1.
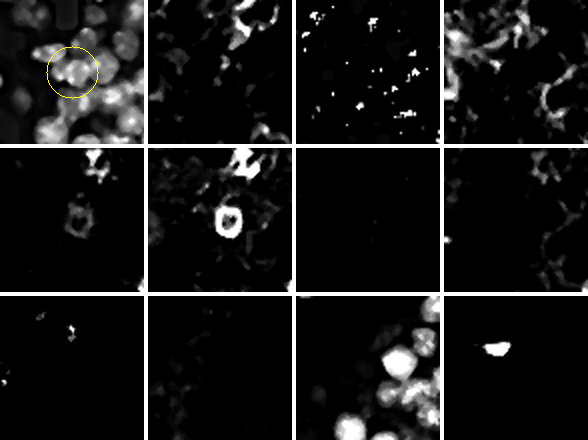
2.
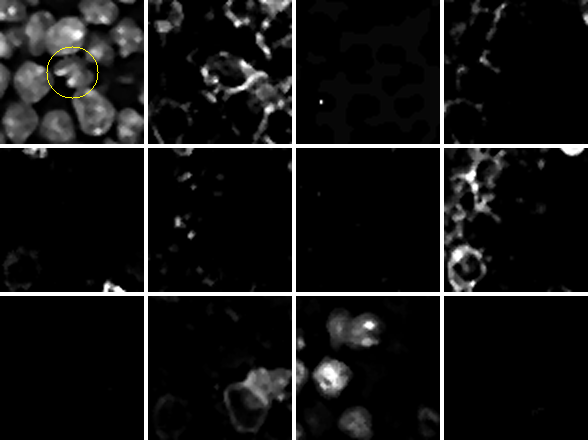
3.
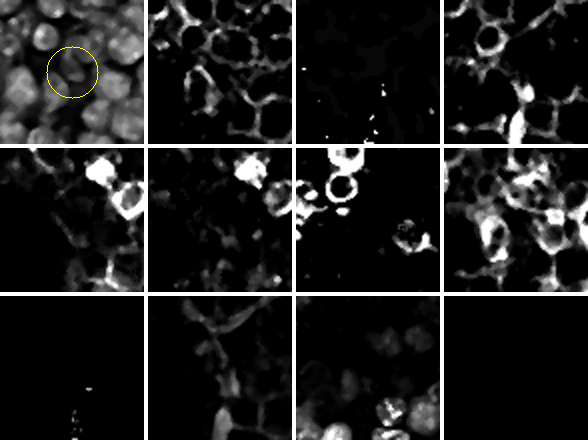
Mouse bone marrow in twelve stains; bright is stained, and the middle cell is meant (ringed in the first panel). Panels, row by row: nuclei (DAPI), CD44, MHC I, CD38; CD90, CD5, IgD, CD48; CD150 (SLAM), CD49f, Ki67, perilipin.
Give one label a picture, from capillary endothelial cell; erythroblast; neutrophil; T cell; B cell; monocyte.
(1) T cell
(2) neutrophil
(3) capillary endothelial cell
